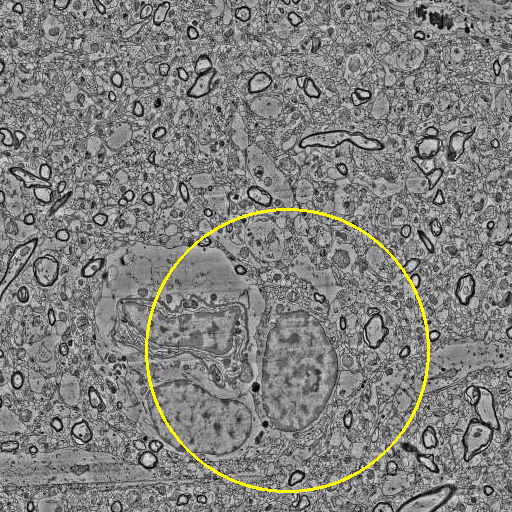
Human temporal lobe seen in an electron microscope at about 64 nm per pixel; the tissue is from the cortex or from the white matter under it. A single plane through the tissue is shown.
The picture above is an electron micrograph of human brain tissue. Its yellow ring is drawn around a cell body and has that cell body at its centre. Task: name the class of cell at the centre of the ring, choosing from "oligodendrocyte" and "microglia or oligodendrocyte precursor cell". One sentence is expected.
The ring surrounds the body of an oligodendrocyte.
